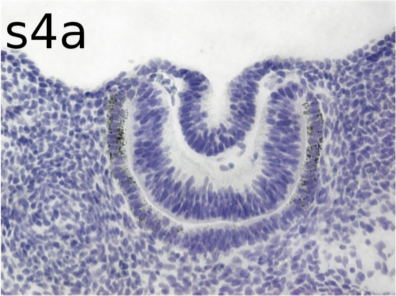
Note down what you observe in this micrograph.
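Here the thickened surface epithelium has folded inward into a deep U-shaped pit, the lens pit. Its wall is a tall, crowded epithelium with elongated blue-violet nuclei arranged in several tiers. The pit is cupped by a second curved epithelial layer whose outer edge carries fine dark granules. Loosely packed mesenchymal cells with scattered nuclei fill the tissue around both layers.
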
